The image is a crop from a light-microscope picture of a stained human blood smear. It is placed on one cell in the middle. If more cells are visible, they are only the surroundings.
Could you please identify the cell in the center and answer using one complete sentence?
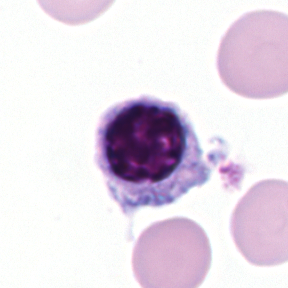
To answer, the cell in the center of the crop is a normoblast.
